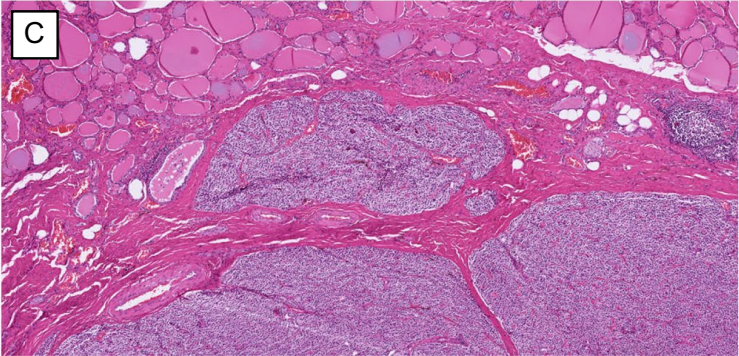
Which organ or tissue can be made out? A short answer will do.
Thyroid parenchyma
